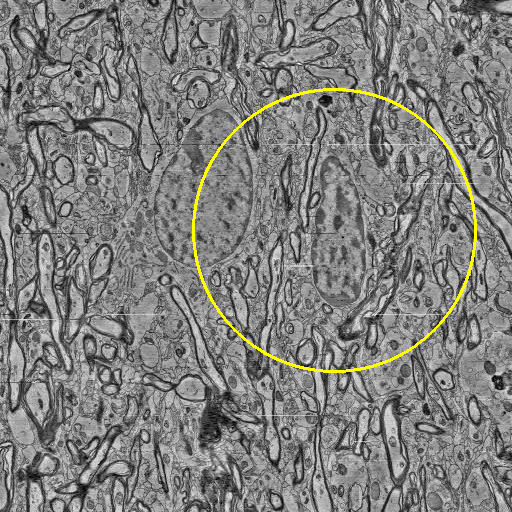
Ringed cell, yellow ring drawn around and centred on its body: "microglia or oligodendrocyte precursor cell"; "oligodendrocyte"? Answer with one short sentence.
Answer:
This ringed cell is a microglial cell or oligodendrocyte precursor cell.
